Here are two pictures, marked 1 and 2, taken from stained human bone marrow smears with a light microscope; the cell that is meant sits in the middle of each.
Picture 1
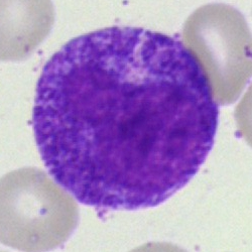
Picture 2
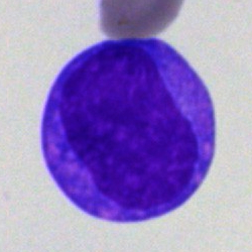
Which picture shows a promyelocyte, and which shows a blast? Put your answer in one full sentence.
It is picture 1 that shows a promyelocyte, and picture 2 that shows a blast.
